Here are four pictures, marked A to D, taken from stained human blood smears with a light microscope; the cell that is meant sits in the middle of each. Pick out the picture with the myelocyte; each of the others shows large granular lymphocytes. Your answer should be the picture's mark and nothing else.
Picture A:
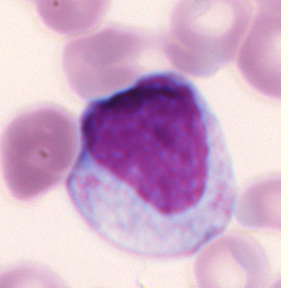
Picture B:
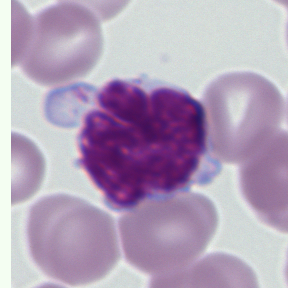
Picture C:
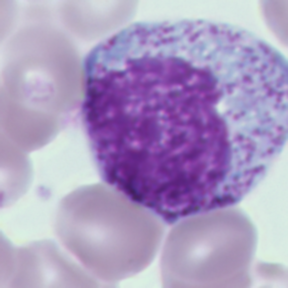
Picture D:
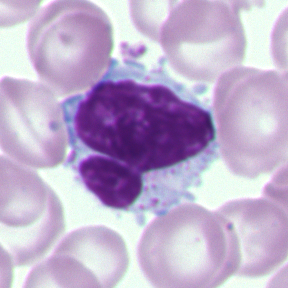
C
